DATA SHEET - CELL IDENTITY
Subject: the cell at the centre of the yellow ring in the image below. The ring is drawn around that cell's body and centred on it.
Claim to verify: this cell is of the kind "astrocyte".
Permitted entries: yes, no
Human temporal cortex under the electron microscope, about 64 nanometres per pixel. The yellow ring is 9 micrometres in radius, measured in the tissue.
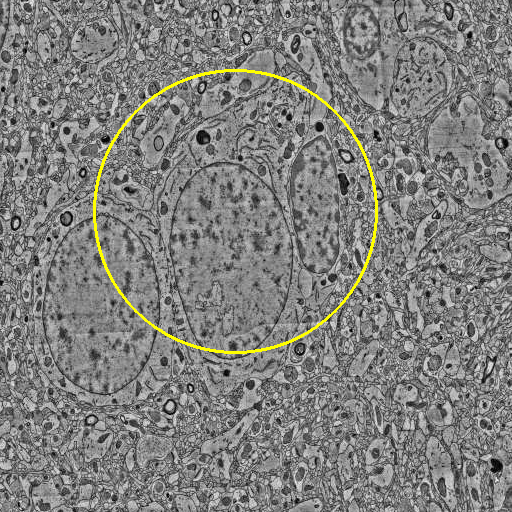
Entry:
no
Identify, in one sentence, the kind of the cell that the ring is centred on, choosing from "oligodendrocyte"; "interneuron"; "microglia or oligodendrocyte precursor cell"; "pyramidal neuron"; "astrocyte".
Instead, the cell inside the ring is a pyramidal neuron.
